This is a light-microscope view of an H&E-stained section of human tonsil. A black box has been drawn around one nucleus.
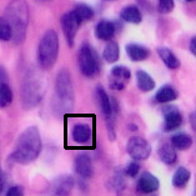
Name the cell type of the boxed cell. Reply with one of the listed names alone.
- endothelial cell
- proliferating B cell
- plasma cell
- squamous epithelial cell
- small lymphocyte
endothelial cell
